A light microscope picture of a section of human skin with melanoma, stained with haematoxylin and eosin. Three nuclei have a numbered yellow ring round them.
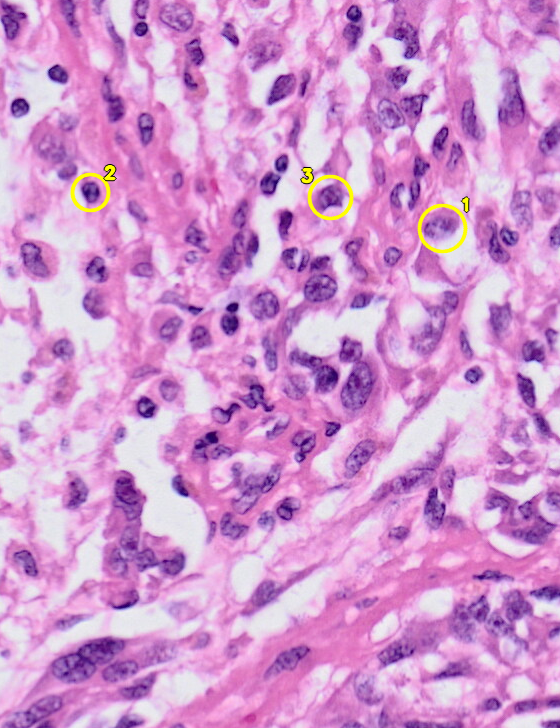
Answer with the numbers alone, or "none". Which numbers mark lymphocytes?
2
